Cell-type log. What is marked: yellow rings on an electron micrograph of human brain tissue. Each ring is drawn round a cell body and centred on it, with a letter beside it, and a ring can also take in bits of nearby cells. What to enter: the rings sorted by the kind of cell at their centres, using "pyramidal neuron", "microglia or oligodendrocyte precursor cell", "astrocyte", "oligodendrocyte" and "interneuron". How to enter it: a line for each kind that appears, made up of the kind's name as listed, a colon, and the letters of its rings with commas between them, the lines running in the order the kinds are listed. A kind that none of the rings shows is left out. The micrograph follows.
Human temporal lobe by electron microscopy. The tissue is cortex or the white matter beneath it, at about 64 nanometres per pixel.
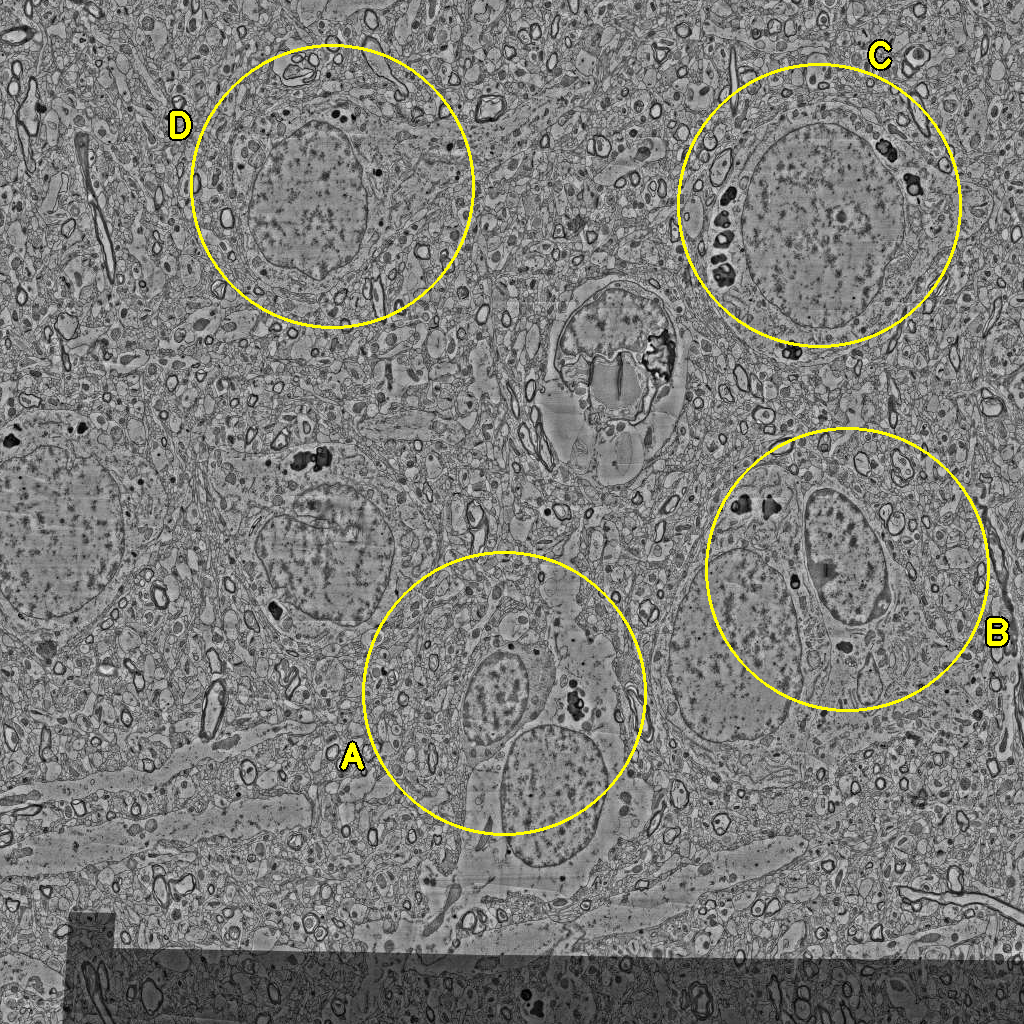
pyramidal neuron: C, D
microglia or oligodendrocyte precursor cell: B
oligodendrocyte: A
